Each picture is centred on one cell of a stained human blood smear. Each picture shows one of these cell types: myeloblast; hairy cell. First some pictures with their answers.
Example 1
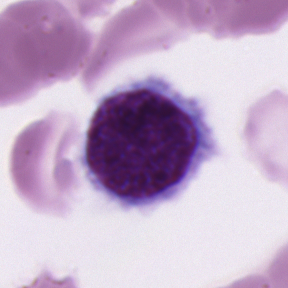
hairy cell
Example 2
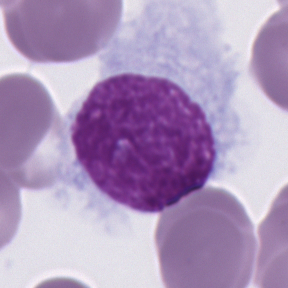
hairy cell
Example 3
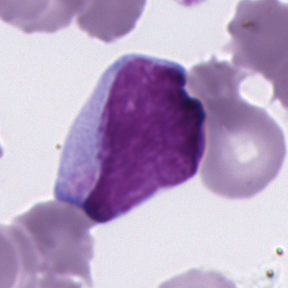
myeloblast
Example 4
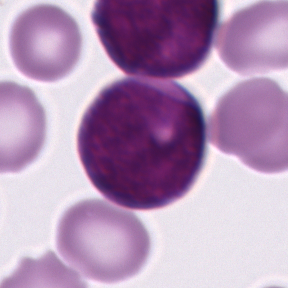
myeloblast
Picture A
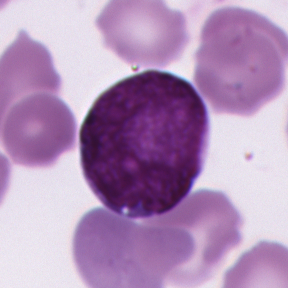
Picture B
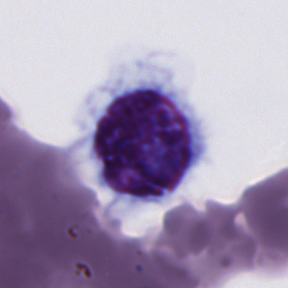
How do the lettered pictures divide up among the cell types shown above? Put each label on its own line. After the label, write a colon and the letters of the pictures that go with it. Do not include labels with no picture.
myeloblast: A
hairy cell: B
